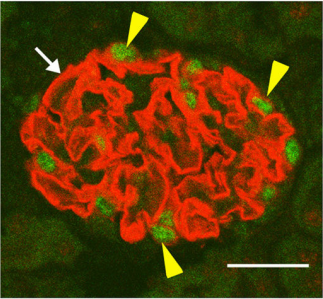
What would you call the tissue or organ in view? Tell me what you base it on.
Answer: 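Glomerular. A round, compact tuft of looping capillary-like folds fills the panel. The tuft is set apart from the surrounding tubular tissue.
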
